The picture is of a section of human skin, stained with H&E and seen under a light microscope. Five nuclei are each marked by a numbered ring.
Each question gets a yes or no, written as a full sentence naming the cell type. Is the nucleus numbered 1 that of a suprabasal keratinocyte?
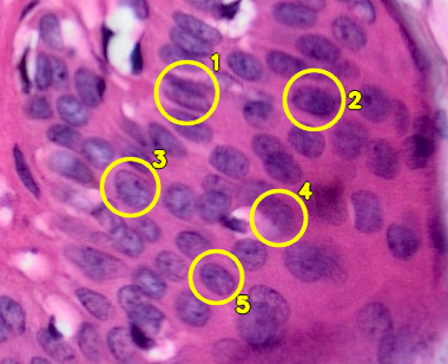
No, number 1 marks a basal keratinocyte rather than a suprabasal keratinocyte.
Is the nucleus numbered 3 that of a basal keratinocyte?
Yes, number 3 marks a cell that is a basal keratinocyte.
